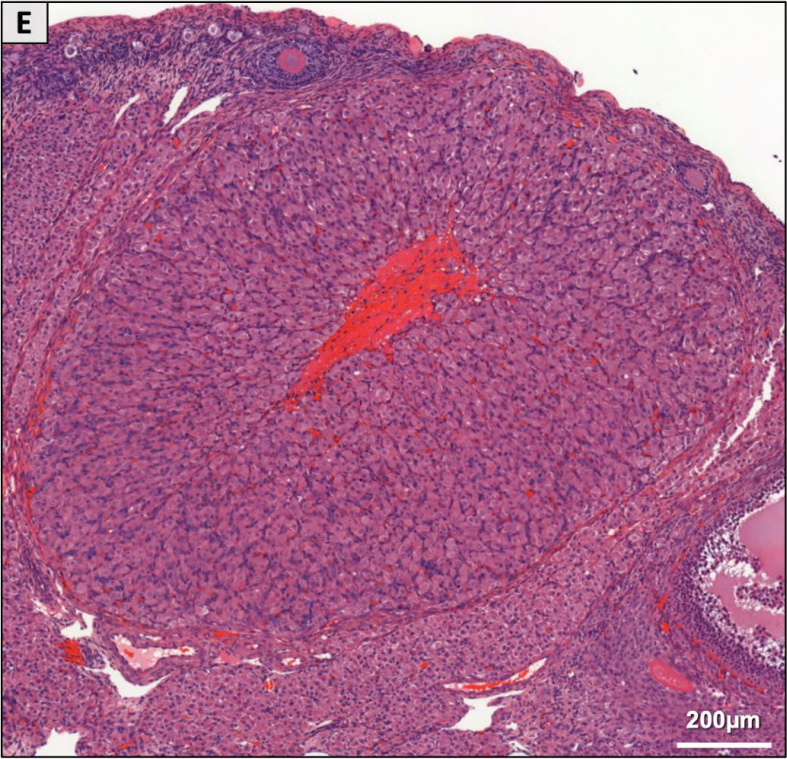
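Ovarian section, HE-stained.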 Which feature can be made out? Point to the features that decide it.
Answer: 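Corpora lutea. A large rounded mass made of closely packed large polygonal cells with pink cytoplasm. A streak of red blood lies in the centre of the mass. The mass is bounded by a thin layer of flattened cells and has no oocyte. Small follicles lie at the edge of the section beside it.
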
